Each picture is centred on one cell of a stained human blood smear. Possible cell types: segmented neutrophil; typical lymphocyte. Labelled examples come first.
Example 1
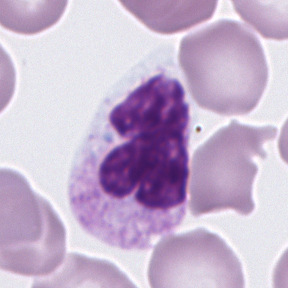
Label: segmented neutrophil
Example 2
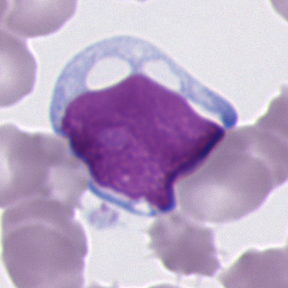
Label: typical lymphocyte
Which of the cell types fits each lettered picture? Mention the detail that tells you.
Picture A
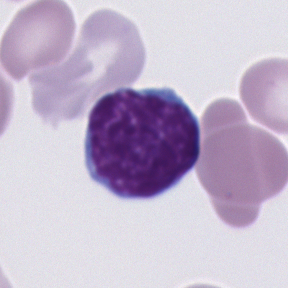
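typical lymphocyte. Evidence: The cytoplasm is a thin blue rim around the nucleus.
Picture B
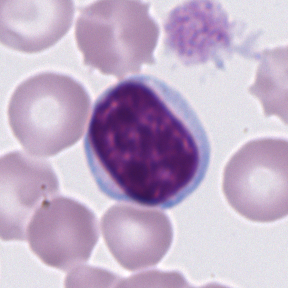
typical lymphocyte. Evidence: The cytoplasm forms only a narrow rim around the nucleus.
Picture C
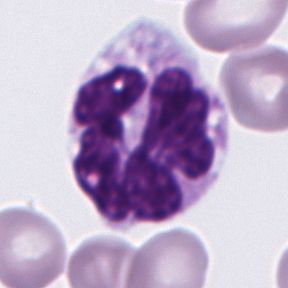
segmented neutrophil. Evidence: A small bright white spot lies on the upper-left lobe of the nucleus.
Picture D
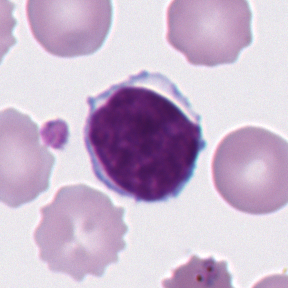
typical lymphocyte. Evidence: The nucleus fills almost the whole cell, leaving only a narrow rim of cytoplasm.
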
